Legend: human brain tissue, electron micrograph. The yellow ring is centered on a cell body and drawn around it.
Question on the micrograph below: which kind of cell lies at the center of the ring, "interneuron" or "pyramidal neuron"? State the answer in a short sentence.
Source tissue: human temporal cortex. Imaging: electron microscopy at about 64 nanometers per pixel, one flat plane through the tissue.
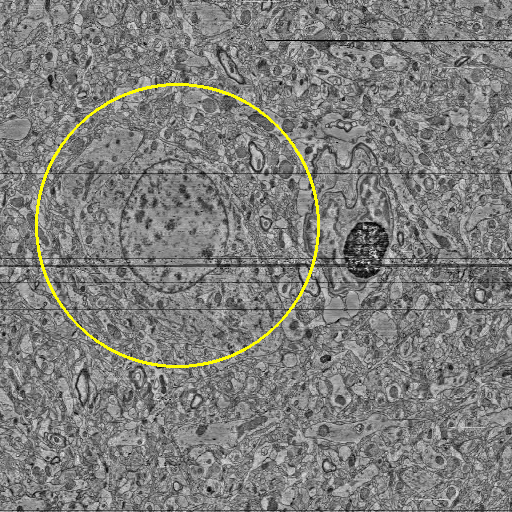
At the center of the ring lies a pyramidal neuron.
